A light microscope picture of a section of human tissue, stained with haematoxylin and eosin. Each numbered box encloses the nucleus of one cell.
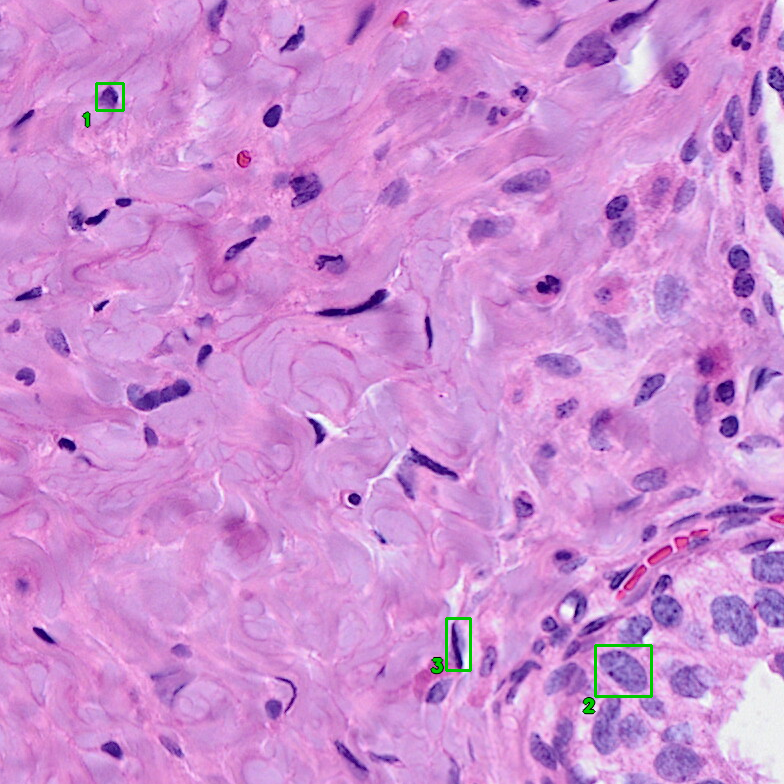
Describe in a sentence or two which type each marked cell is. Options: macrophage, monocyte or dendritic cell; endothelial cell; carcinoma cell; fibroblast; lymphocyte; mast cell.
Cells 1 and 3 are fibroblasts. Cell 2 is a carcinoma cell.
